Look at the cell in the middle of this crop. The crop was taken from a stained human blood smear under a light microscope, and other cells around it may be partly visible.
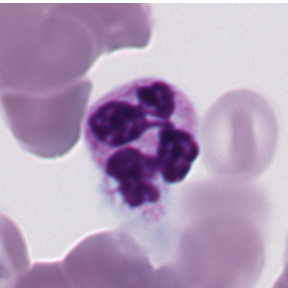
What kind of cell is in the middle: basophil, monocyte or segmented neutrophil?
segmented neutrophil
